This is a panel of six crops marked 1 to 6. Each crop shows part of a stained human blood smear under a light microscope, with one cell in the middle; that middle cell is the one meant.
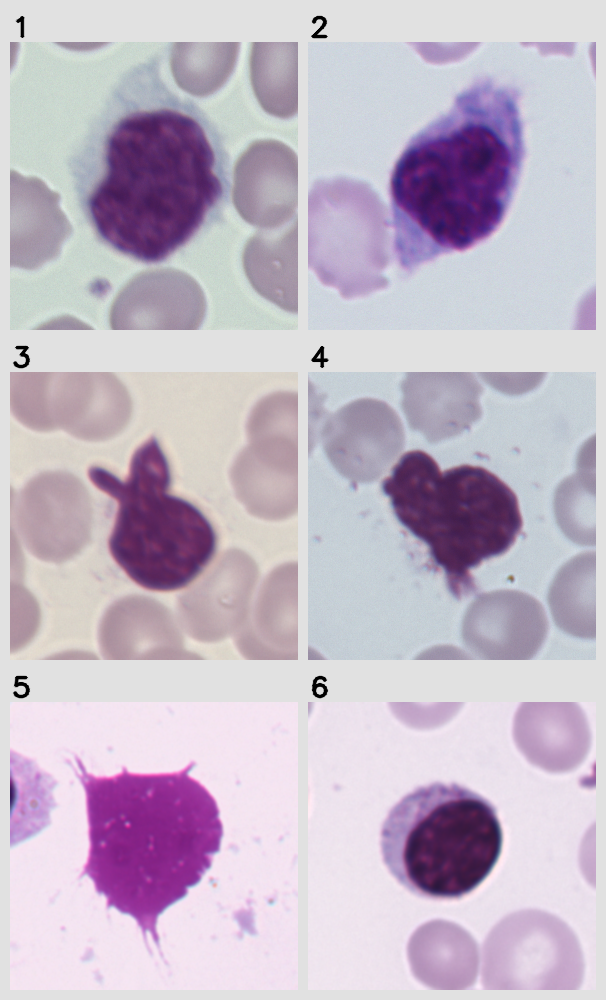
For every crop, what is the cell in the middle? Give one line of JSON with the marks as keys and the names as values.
{"1": "hairy cell", "2": "hairy cell", "3": "smudge cell", "4": "smudge cell", "5": "smudge cell", "6": "typical lymphocyte"}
